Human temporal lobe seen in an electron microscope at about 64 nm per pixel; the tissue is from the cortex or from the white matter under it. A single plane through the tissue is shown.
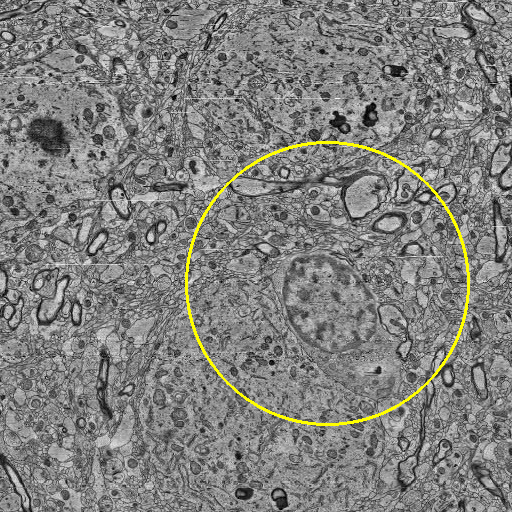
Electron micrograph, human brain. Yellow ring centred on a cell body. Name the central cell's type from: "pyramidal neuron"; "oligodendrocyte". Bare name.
oligodendrocyte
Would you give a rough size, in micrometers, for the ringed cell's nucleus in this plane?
The nucleus of the ringed cell is approximately 7 by 5 micrometres in this plane.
